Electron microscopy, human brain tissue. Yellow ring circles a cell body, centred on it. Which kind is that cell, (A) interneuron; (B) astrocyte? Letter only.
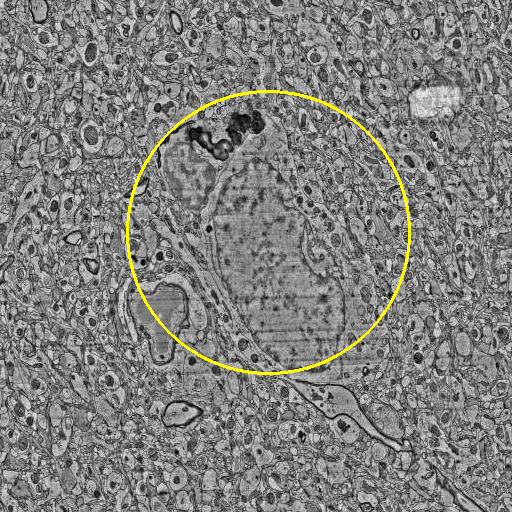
A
